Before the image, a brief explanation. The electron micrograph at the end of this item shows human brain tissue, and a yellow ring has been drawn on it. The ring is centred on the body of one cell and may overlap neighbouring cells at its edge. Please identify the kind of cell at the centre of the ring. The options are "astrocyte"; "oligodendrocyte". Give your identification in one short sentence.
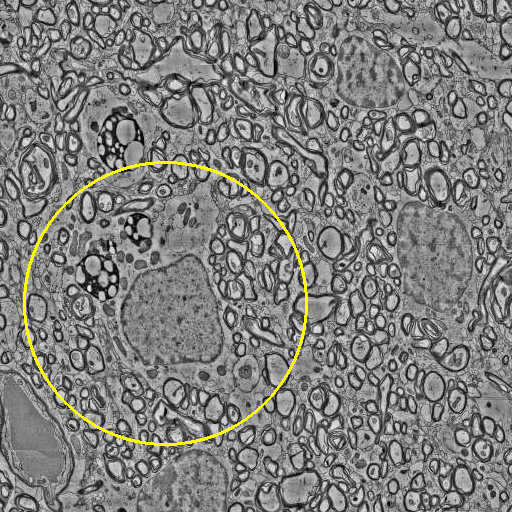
The ring has been placed around an astrocyte.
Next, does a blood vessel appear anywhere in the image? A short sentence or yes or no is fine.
No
